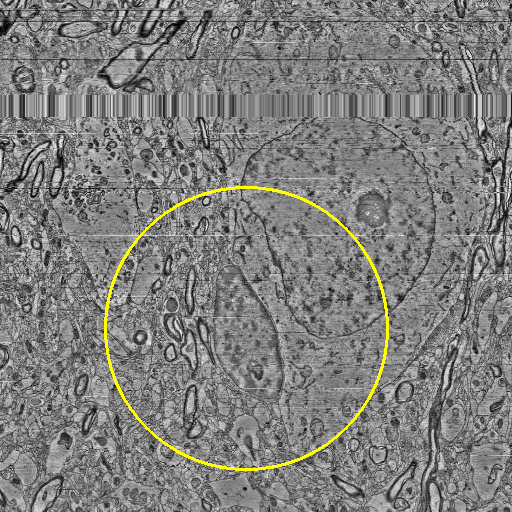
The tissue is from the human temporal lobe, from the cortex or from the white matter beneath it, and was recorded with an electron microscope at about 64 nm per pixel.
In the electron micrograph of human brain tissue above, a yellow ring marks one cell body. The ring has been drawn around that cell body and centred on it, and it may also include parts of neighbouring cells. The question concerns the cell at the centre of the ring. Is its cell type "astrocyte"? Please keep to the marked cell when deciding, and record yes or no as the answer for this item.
no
